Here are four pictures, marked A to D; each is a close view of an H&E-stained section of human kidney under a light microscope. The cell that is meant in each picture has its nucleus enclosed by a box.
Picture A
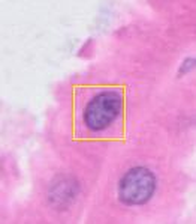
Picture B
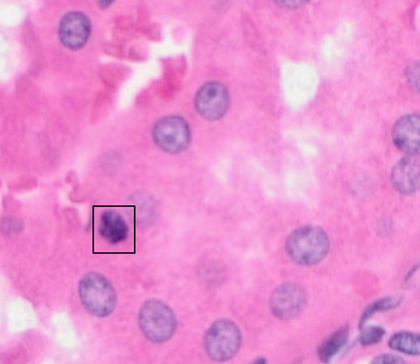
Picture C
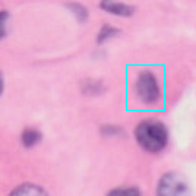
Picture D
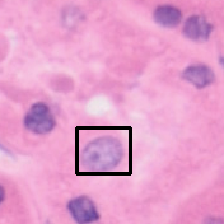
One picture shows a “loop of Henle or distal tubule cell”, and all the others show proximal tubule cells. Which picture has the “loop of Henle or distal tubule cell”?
C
